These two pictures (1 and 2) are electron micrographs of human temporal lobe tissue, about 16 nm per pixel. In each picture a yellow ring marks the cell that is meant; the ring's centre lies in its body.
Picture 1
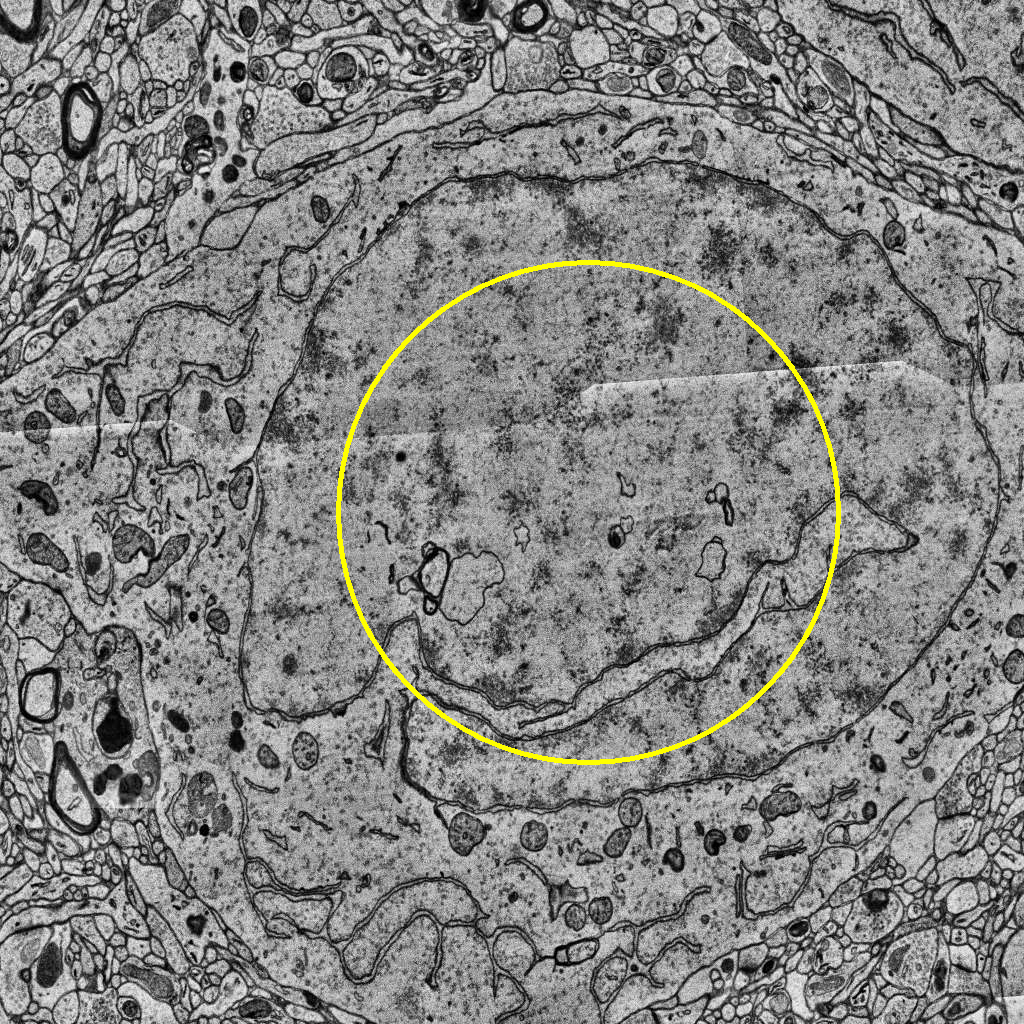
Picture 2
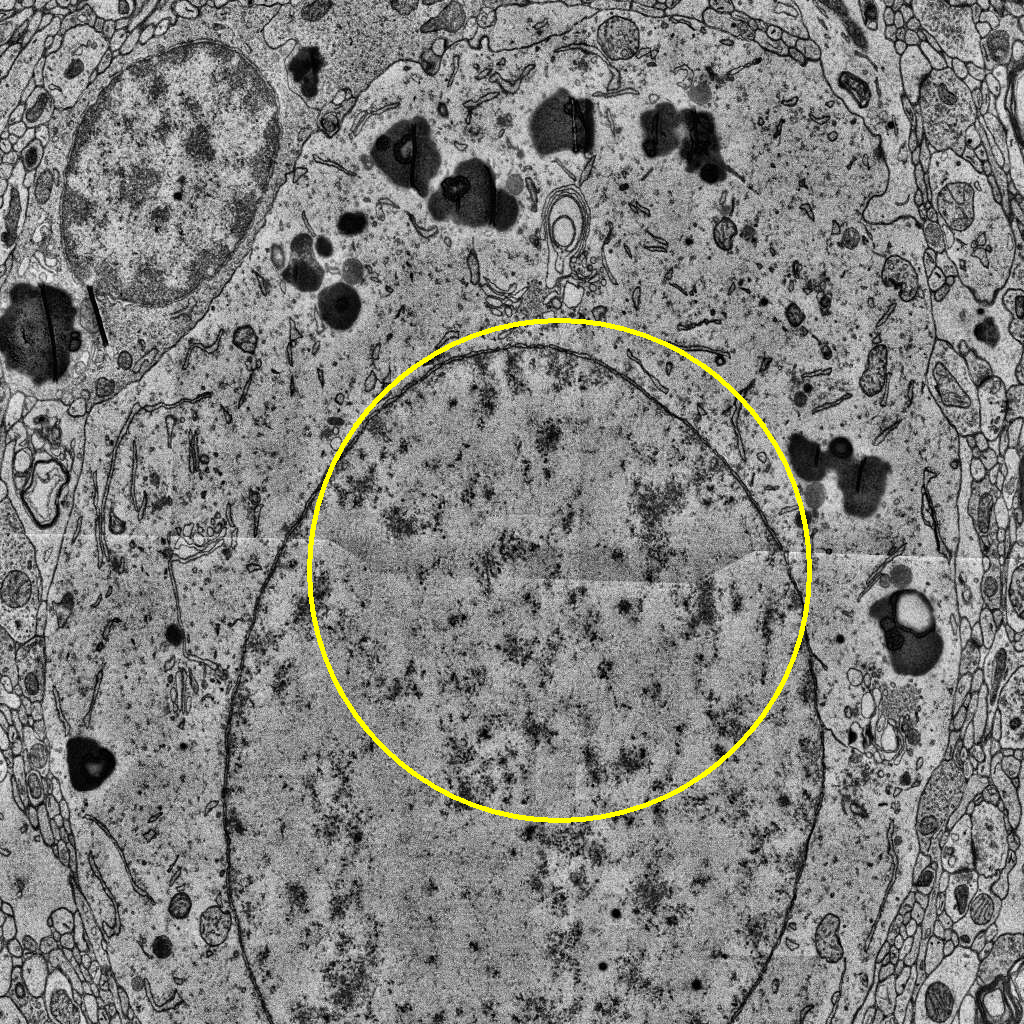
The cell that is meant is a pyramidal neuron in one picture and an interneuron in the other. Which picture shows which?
The cell in picture 1 is an interneuron, and the one in picture 2 is a pyramidal neuron.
